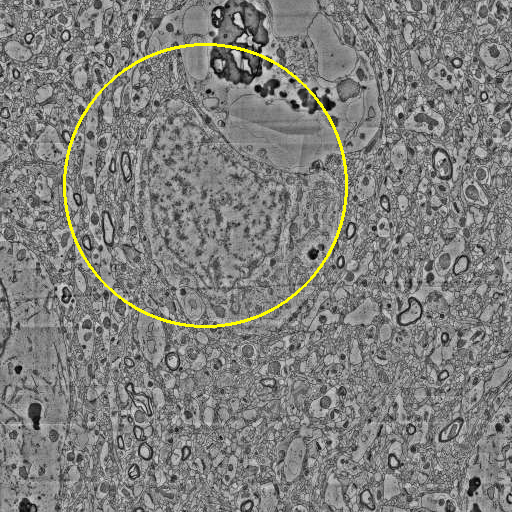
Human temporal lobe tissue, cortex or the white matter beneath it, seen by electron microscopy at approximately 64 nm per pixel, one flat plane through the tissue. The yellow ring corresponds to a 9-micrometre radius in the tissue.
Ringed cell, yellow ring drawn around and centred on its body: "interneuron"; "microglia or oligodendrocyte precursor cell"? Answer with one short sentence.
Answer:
This ringed cell is an interneuron.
